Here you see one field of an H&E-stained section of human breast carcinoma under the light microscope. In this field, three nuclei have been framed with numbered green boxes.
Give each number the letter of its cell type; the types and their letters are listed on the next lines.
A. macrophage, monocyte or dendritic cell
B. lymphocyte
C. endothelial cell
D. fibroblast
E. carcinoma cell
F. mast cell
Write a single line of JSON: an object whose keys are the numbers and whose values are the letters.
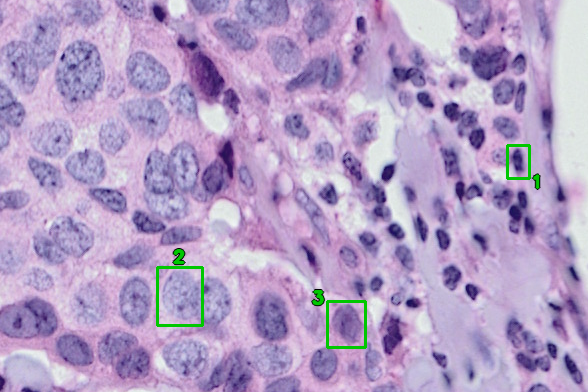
{"1": "B", "2": "E", "3": "E"}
